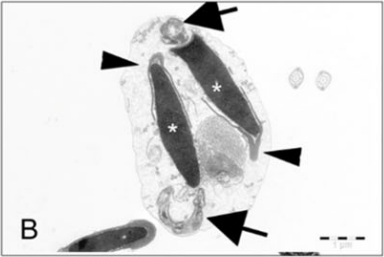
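An abnormal, rounded sperm cell in a transmission electron micrograph holds two elongated, electron-dense nuclei within a single pale cytoplasm bounded by a membrane. Thin dense caps line the nuclei, and curled tail profiles lie at both ends of the cell.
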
